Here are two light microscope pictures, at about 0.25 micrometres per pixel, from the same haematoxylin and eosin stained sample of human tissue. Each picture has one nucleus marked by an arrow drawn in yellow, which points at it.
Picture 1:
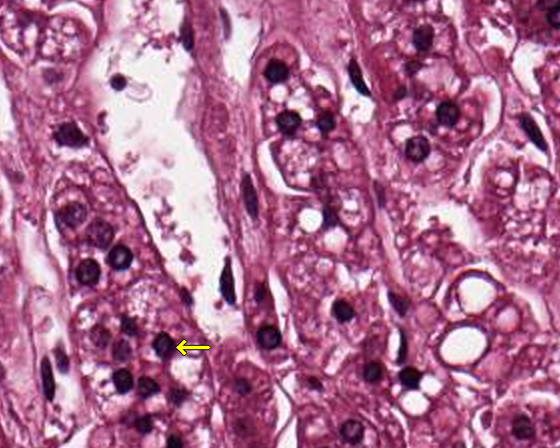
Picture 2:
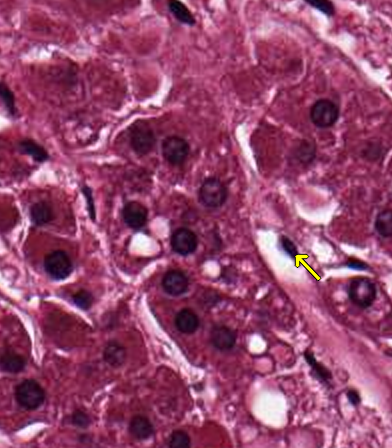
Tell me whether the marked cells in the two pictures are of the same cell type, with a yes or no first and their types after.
No, the first is an adrenal cortical cell and the second an endothelial cell.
